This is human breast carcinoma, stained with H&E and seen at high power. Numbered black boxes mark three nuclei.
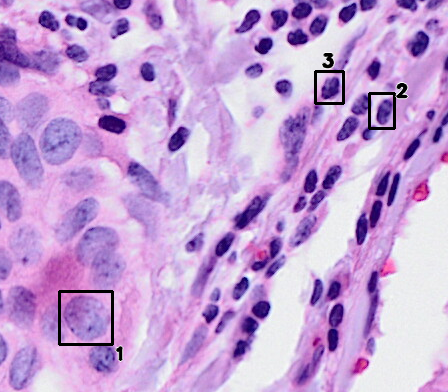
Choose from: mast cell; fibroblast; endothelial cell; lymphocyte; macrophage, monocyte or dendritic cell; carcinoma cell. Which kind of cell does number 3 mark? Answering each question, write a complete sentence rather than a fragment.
Classified as a lymphocyte is the cell with the number 3.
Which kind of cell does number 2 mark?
The identity of cell 2 is that of a lymphocyte.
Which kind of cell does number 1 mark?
The cell marked with number 1 is a carcinoma cell.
